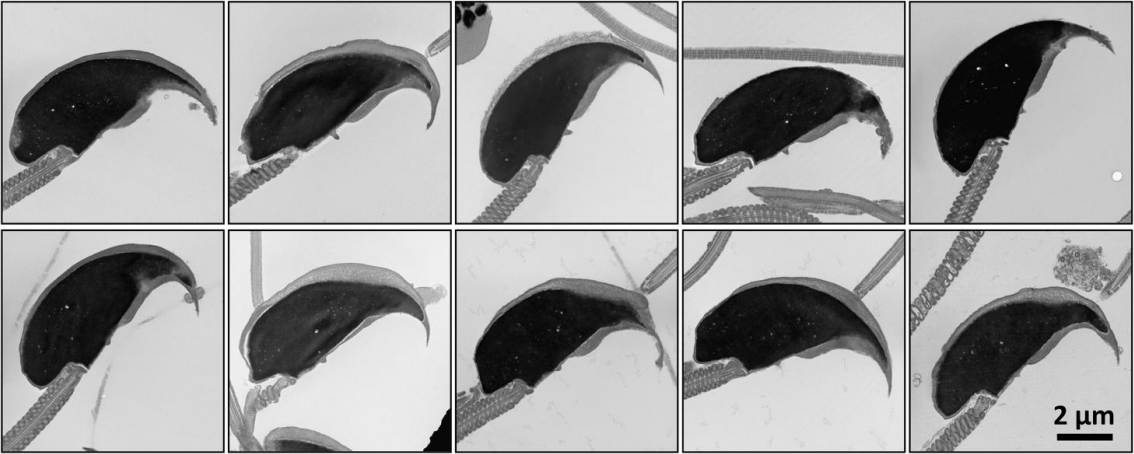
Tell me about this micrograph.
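These are heads of spermatozoa, cut lengthwise, each with the typical hooked, sickle-like outline of a rodent sperm head. The nucleus fills most of each head as a very dark, evenly dense mass that tapers to a curved, pointed tip. At the base of each head the tail begins, and its wall shows regular, closely spaced striations from the coiled sheath around it. Around the heads lie other tail pieces cut along their length, showing the same banded pattern.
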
